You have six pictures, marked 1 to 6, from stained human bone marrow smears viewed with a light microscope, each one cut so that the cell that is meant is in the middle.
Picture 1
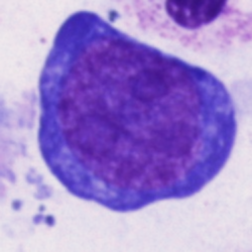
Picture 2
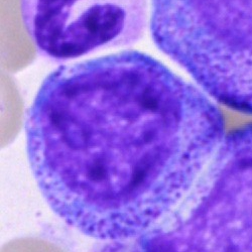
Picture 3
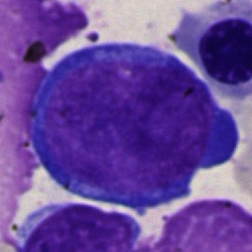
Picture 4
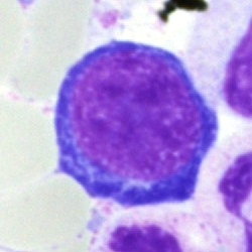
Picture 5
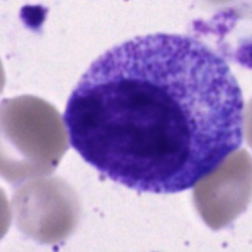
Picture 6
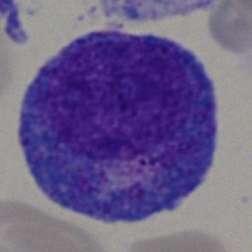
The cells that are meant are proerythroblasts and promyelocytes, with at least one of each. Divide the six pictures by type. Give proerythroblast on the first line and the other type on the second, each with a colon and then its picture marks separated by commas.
proerythroblast: 1, 3, 4
promyelocyte: 2, 5, 6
